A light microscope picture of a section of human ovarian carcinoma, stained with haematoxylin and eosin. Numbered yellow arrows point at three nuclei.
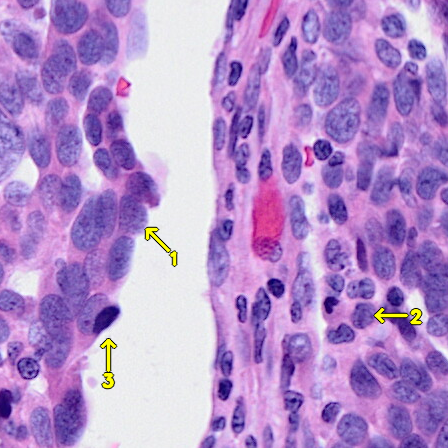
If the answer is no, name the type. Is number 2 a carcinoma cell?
No, it is a macrophage or monocyte.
